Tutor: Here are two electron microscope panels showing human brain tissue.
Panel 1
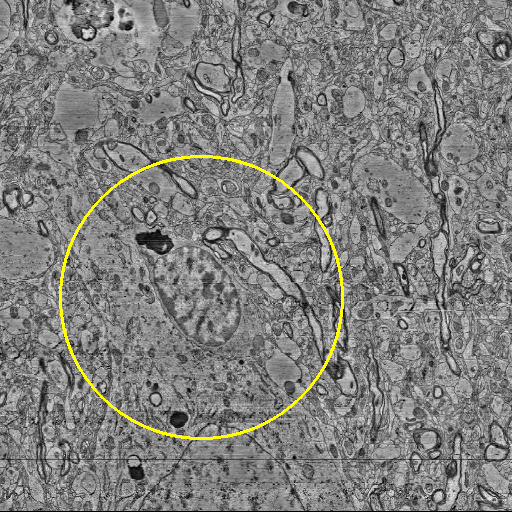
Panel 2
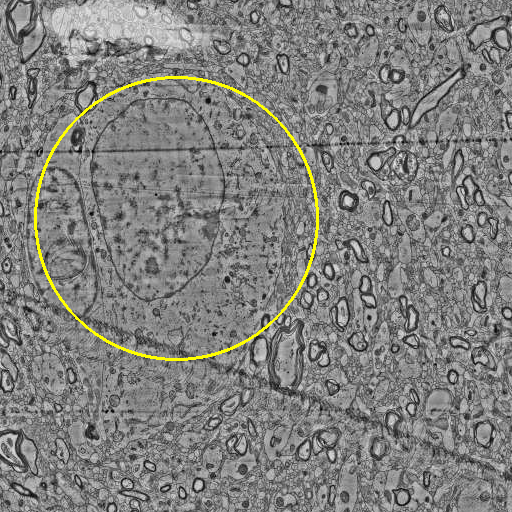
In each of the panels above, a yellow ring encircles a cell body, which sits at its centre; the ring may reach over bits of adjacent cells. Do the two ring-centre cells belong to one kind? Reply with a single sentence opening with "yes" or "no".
No, the two cells sitting at the ring centres in the panels belong to two kinds.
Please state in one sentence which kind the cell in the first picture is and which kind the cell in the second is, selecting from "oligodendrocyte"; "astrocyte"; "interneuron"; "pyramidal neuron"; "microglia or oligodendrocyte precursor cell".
The first ringed cell is an oligodendrocyte, the second ringed cell a pyramidal neuron.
